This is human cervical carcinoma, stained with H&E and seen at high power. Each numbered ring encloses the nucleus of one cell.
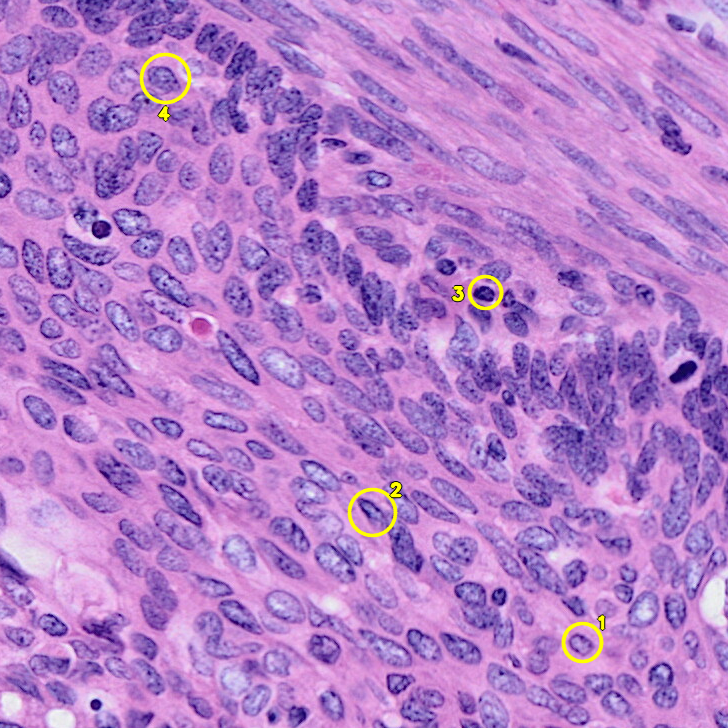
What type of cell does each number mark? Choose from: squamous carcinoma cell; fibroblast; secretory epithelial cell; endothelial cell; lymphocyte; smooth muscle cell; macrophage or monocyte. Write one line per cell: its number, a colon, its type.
1: squamous carcinoma cell
2: squamous carcinoma cell
3: lymphocyte
4: squamous carcinoma cell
